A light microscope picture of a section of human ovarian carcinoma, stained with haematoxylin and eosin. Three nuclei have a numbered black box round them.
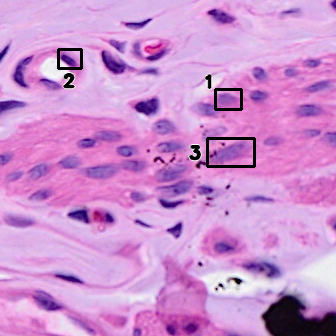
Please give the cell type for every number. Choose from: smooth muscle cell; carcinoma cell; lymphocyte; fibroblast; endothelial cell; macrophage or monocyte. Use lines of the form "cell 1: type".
cell 1: smooth muscle cell
cell 2: endothelial cell
cell 3: smooth muscle cell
